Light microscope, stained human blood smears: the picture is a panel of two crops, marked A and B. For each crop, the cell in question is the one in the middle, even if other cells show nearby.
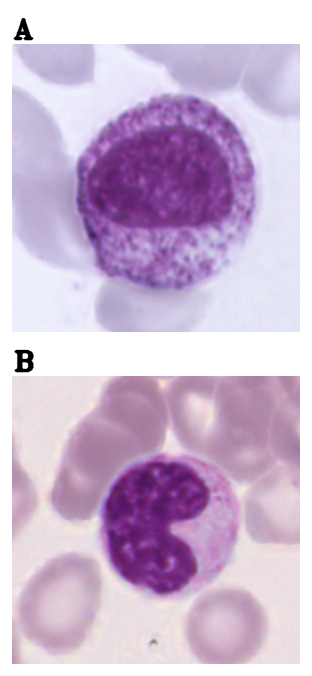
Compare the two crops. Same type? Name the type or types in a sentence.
No, crop A contains a myelocyte, whereas crop B contains a metamyelocyte.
